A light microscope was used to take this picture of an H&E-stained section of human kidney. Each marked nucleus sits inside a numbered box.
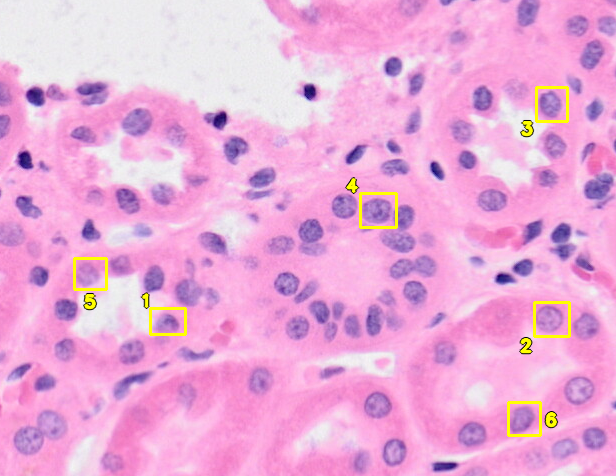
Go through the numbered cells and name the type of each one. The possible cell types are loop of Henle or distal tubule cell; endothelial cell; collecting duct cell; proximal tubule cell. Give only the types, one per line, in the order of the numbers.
loop of Henle or distal tubule cell
proximal tubule cell
loop of Henle or distal tubule cell
collecting duct cell
loop of Henle or distal tubule cell
proximal tubule cell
